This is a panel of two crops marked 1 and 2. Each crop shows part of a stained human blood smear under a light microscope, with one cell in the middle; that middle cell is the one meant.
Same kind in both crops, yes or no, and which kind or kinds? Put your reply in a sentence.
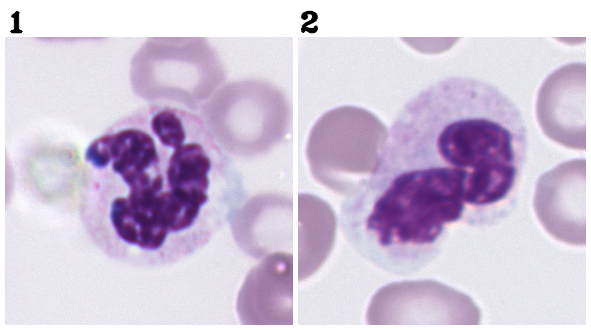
Yes, put down segmented neutrophils for both crops.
